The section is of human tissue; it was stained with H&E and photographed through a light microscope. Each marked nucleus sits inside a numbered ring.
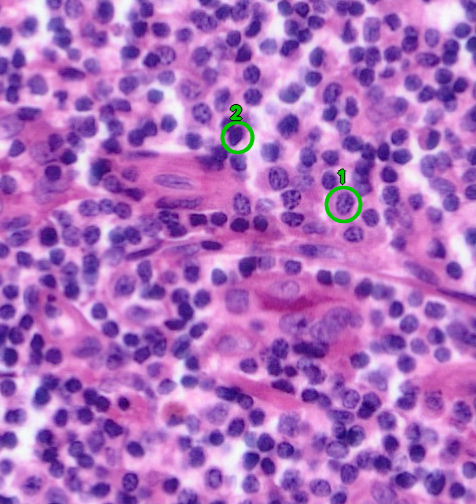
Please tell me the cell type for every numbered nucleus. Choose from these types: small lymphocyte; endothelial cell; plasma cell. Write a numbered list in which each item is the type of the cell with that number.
1. plasma cell
2. small lymphocyte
